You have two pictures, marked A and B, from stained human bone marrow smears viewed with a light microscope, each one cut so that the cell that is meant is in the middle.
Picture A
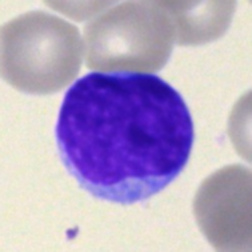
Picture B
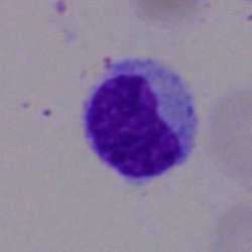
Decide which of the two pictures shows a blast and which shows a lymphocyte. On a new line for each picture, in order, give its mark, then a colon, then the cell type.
A: blast
B: lymphocyte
